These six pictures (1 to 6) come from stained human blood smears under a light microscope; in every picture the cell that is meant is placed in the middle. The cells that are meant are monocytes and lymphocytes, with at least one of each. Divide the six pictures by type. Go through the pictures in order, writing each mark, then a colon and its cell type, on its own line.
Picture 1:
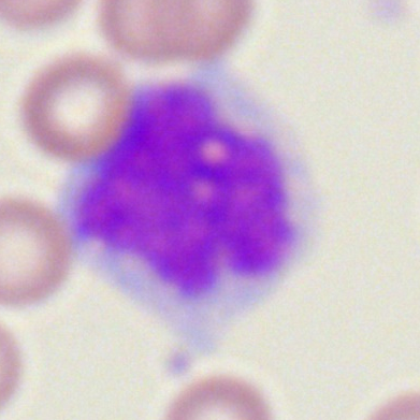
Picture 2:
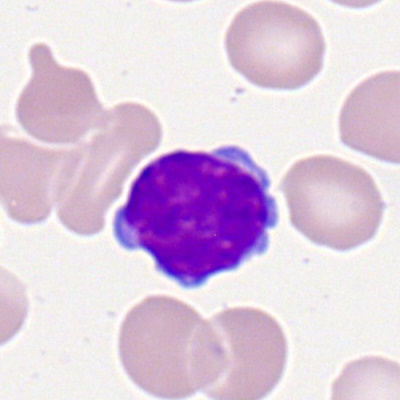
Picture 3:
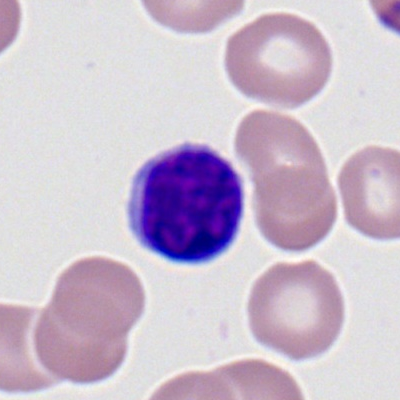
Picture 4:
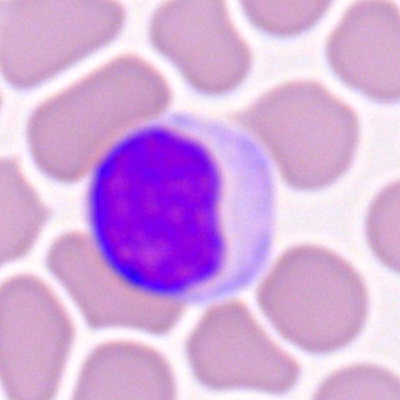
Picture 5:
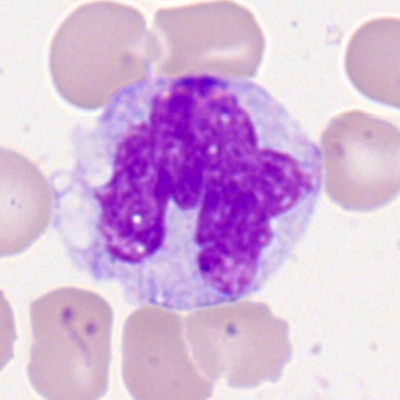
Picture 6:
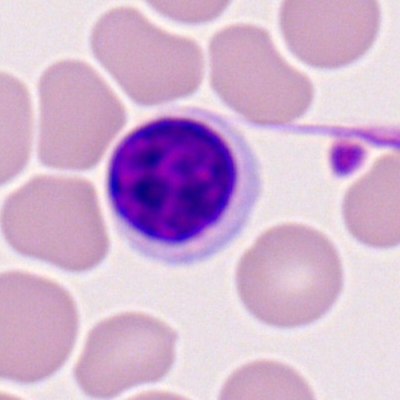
1: monocyte
2: lymphocyte
3: lymphocyte
4: lymphocyte
5: monocyte
6: lymphocyte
